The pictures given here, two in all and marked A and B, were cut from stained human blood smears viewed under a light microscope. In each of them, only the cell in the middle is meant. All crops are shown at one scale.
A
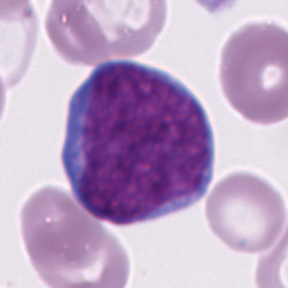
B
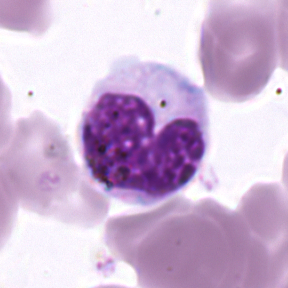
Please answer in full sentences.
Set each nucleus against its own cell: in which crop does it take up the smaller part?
The nucleus fills less of the cell in crop B than in crop A.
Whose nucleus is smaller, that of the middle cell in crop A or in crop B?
The nucleus in crop B is smaller; the one in crop A has about 2 times its area.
